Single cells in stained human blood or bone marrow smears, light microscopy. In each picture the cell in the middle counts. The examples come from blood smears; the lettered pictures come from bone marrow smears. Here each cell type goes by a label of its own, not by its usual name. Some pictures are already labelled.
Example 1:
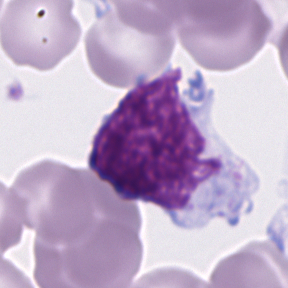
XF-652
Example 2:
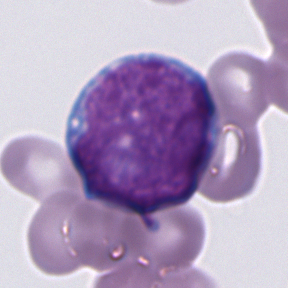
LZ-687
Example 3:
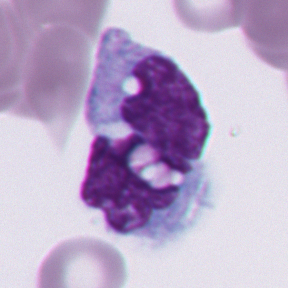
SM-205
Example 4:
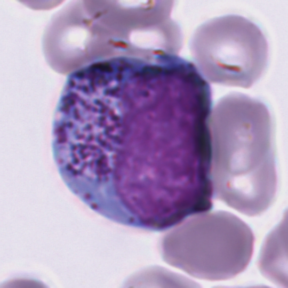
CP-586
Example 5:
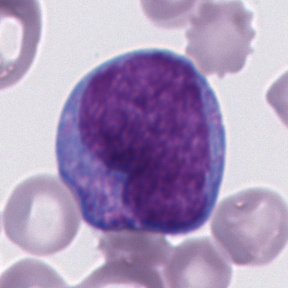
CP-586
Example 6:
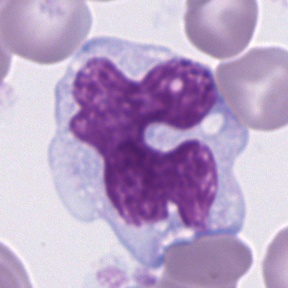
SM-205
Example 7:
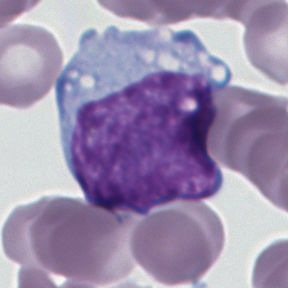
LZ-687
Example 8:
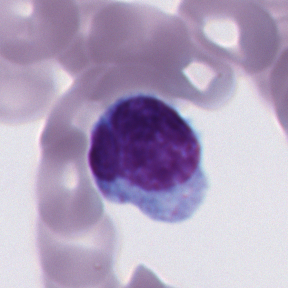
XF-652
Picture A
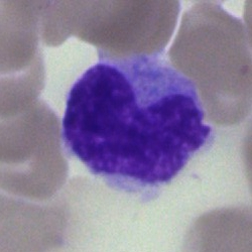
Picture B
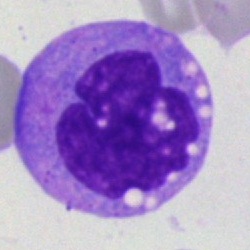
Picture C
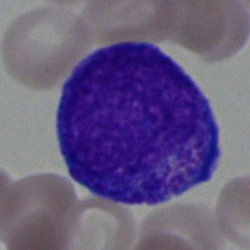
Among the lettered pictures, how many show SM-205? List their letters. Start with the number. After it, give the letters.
2: A, B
